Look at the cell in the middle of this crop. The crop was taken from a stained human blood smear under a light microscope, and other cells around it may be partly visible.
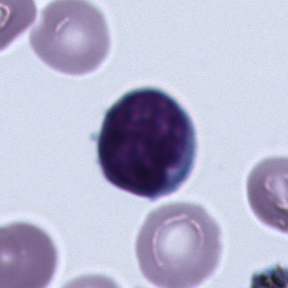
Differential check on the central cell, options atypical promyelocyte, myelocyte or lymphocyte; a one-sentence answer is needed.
To answer, the cell in the center of the crop is a lymphocyte.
